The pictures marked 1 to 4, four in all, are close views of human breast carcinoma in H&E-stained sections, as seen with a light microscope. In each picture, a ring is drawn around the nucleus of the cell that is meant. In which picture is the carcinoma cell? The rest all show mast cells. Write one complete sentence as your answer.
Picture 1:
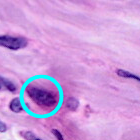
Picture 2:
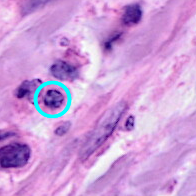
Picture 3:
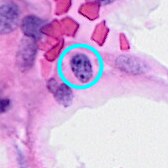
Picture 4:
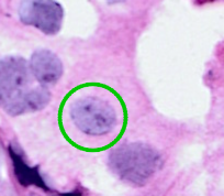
The picture with the carcinoma cell is 4.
